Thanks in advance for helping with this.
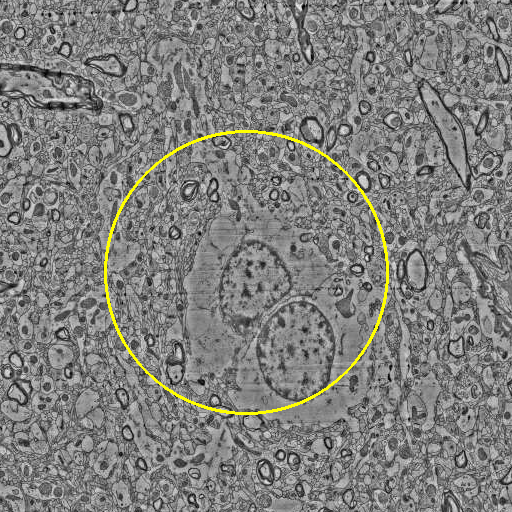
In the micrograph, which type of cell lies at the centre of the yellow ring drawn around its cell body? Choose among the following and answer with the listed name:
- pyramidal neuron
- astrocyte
astrocyte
